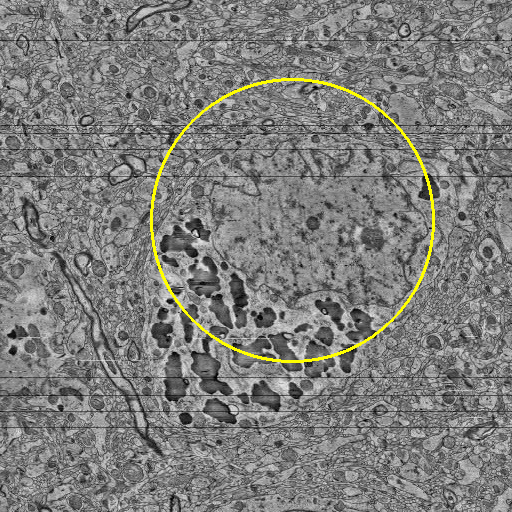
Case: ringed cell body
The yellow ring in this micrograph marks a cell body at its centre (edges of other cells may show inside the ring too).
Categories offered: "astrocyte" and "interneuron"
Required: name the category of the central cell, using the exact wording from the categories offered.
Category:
interneuron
